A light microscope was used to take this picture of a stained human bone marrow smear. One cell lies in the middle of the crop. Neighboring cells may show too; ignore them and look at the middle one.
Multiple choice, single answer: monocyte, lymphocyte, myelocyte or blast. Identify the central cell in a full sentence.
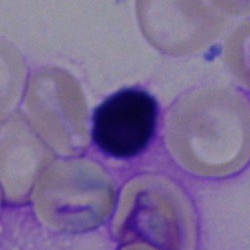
Here the cell in the middle is a lymphocyte.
